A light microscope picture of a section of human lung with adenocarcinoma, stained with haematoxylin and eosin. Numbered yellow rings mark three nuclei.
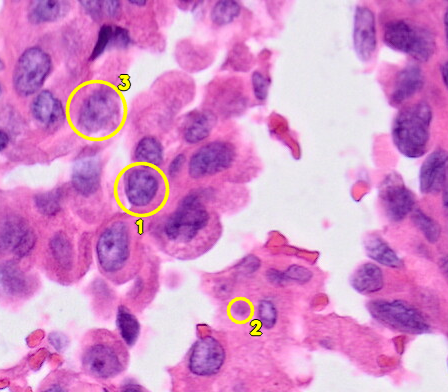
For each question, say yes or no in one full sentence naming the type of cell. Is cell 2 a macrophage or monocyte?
Yes, exactly, the cell numbered 2 is a macrophage or monocyte.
